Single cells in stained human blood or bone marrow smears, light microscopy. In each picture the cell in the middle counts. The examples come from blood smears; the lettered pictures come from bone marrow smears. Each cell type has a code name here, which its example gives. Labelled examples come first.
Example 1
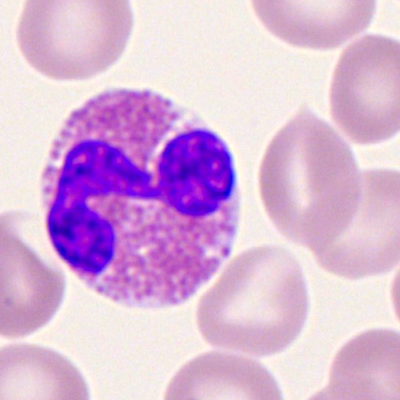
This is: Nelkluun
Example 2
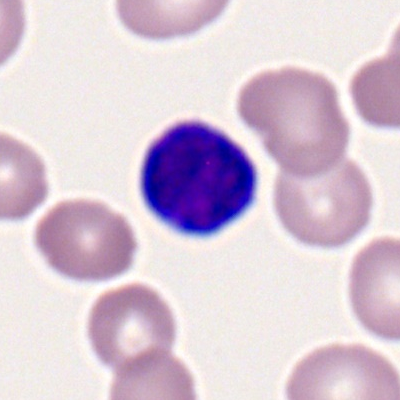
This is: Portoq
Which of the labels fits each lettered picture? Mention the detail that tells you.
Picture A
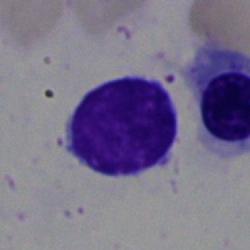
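Answer: Portoq. Cytoplasm is scant, showing at most as a very thin rim at the edge.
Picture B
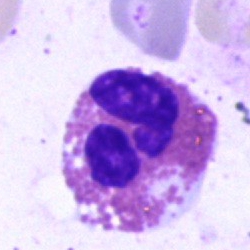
Answer: Nelkluun. The cytoplasm is packed with coarse pinkish-purple granules.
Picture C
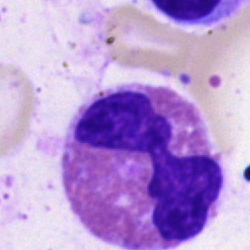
Answer: Nelkluun. Fine pinkish-lilac granules fill the cytoplasm.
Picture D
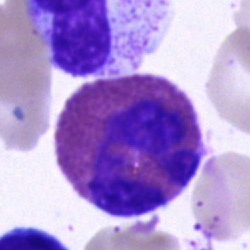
Answer: Nelkluun. The cytoplasm is abundant, widest on the upper left side.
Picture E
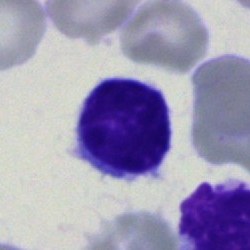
Answer: Portoq. The nucleus fills almost the whole cell.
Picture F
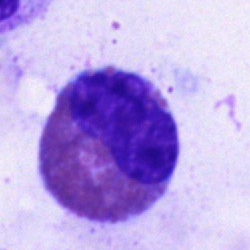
Answer: Nelkluun. The cytoplasm is abundant, filling roughly the lower-left half of the cell.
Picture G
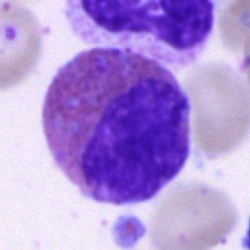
Answer: Nelkluun. The cytoplasm is abundant, forming a wide crescent on the left of the cell.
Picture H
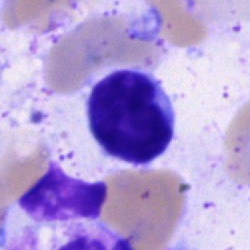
Answer: Portoq. The cytoplasm is very scant, at most a thin rim around the nucleus.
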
